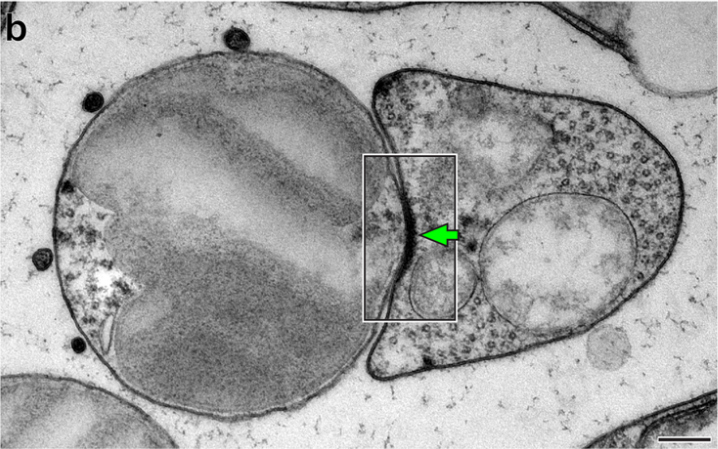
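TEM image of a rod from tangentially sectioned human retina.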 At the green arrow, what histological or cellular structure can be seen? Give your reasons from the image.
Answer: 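The green arrow points to a dark, thickened band where two membrane-bound profiles touch. The band is much darker than the membranes elsewhere around the profiles. The answer: electron-dense structure.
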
